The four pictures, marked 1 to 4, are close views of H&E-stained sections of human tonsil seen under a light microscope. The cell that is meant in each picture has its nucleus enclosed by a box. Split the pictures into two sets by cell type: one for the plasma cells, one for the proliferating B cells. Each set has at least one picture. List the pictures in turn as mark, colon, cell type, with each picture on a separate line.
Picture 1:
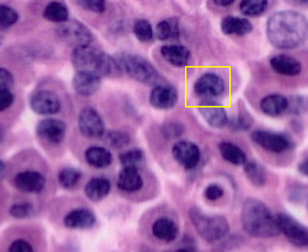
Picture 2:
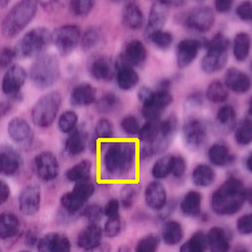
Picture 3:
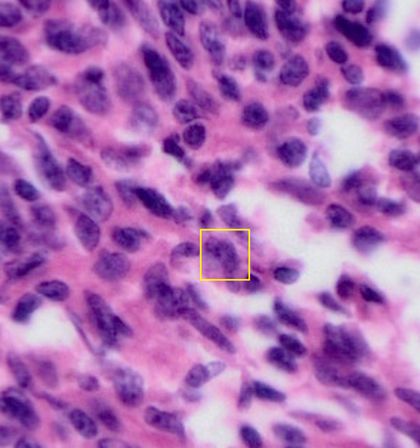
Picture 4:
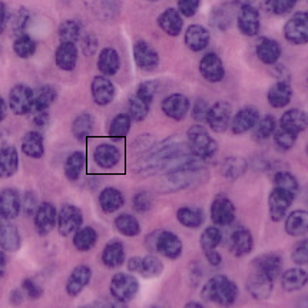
1: plasma cell
2: proliferating B cell
3: proliferating B cell
4: plasma cell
